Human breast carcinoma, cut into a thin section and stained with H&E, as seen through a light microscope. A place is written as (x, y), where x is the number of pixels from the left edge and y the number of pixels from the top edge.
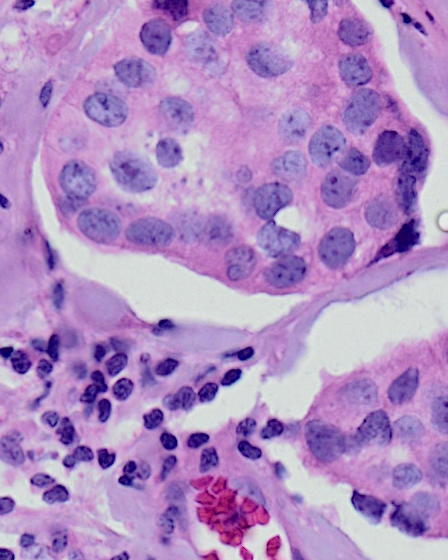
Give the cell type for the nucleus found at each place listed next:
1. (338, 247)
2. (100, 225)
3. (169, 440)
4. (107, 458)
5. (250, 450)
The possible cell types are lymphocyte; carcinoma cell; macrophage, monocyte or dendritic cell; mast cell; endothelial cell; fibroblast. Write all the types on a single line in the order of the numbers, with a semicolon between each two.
carcinoma cell; carcinoma cell; lymphocyte; lymphocyte; lymphocyte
